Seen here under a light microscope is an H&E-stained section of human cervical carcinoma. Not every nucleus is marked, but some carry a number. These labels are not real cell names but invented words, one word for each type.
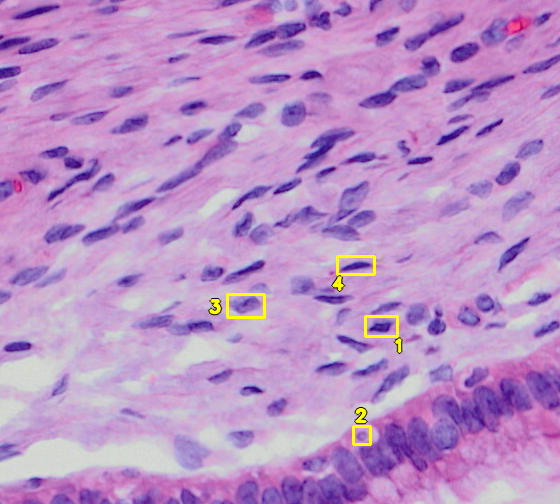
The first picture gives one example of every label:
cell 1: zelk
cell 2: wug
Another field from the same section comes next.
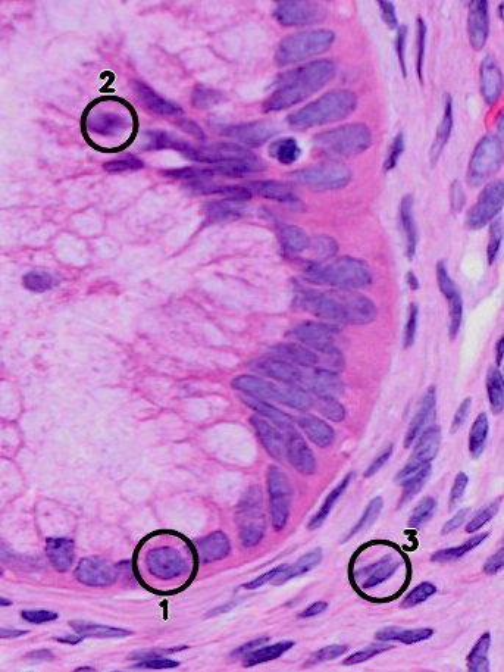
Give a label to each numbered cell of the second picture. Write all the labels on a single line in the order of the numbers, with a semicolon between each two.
wug; wug; zelk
